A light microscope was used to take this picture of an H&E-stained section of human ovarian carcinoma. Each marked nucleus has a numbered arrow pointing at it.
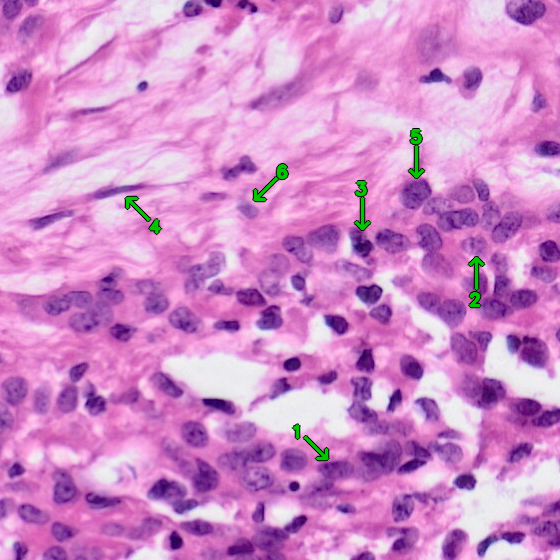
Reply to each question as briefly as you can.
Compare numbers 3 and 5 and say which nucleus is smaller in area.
3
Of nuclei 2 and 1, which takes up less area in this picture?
2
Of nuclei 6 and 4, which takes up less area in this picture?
6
